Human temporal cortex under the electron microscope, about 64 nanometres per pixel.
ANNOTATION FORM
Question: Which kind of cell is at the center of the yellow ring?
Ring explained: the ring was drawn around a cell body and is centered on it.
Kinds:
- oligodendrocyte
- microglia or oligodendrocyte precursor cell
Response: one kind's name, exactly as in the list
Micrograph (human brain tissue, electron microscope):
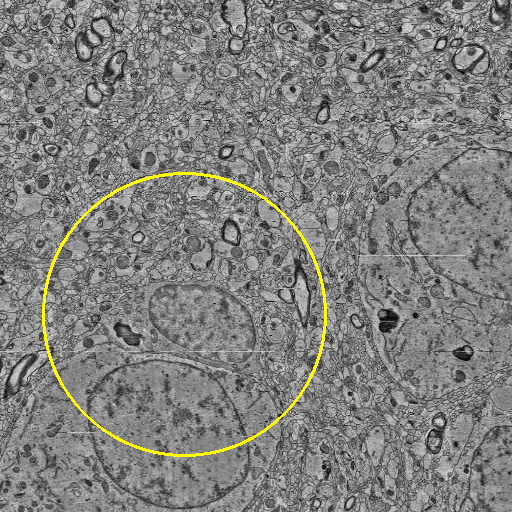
oligodendrocyte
